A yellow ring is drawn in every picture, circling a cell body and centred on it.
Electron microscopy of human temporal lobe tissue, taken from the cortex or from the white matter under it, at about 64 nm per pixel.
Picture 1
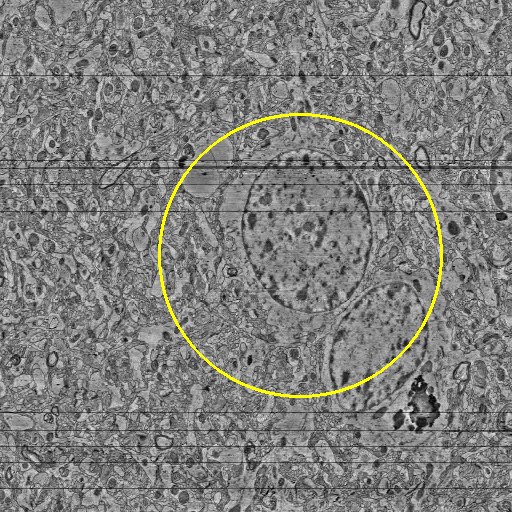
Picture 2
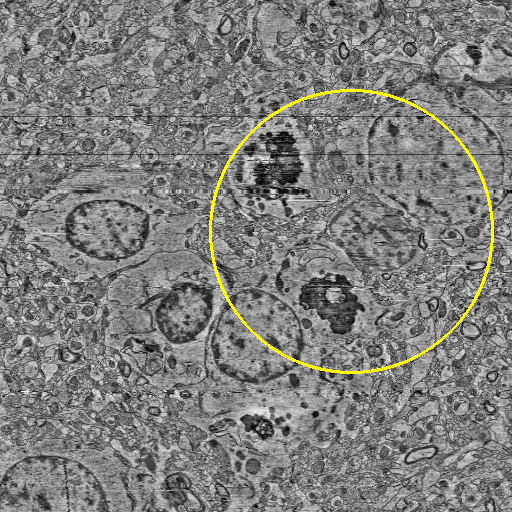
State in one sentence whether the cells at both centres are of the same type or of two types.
The cells at the two ring centres, one per picture, are of two types.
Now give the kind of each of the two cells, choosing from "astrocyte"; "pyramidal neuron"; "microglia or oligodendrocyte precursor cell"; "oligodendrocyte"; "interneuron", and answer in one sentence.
The cell in the first picture is an astrocyte, and the cell in the second is an oligodendrocyte.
